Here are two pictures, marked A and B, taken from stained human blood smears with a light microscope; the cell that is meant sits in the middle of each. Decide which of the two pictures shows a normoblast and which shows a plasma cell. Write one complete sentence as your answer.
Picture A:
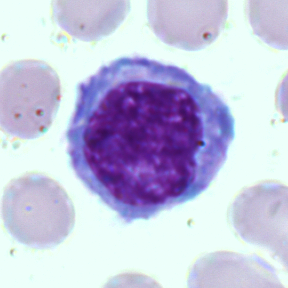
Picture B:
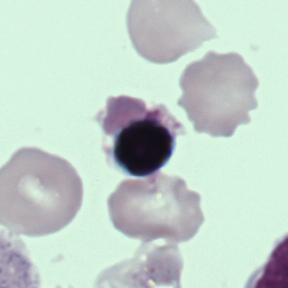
Picture B shows a normoblast, while picture A shows a plasma cell.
